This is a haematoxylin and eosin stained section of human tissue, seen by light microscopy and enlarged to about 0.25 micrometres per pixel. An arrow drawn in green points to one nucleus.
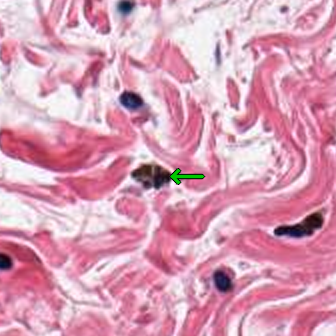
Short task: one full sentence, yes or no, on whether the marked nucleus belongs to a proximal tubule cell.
No, the marked nucleus is part of a supporting cell and does not belong to a proximal tubule cell.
